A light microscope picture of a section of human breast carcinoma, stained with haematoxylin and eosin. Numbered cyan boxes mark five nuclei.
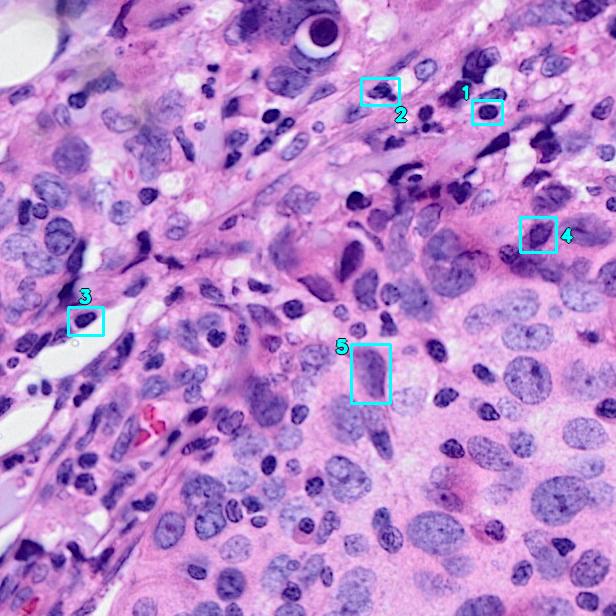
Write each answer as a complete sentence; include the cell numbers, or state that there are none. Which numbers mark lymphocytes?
The numbers 1, 2 and 3 mark cells that are lymphocytes.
